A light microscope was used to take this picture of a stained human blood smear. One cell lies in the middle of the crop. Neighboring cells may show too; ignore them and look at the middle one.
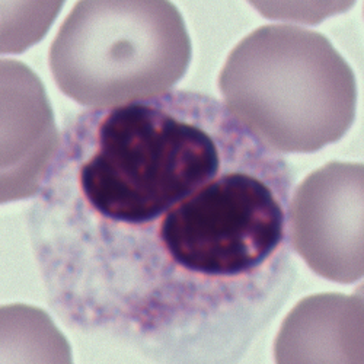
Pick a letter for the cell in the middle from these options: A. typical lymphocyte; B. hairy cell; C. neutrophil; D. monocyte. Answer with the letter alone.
C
